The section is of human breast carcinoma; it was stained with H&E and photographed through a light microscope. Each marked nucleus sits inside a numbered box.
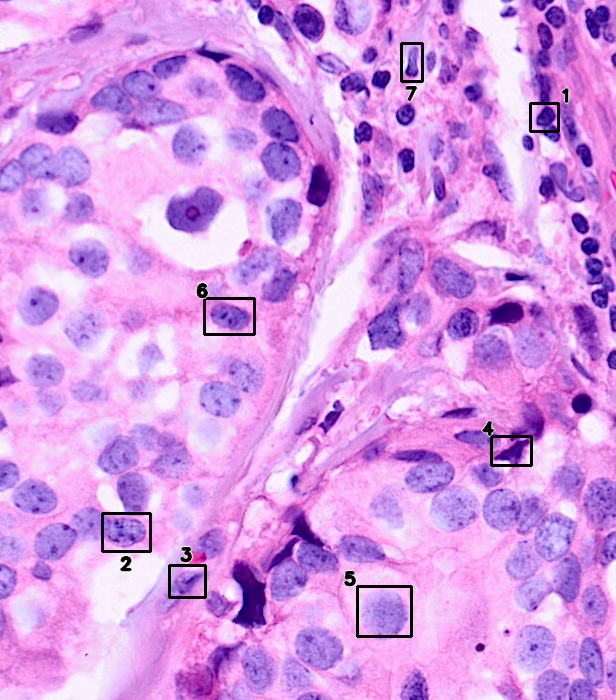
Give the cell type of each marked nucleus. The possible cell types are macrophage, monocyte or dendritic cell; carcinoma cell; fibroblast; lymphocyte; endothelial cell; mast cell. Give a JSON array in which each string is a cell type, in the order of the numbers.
["lymphocyte", "carcinoma cell", "endothelial cell", "carcinoma cell", "carcinoma cell", "carcinoma cell", "lymphocyte"]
